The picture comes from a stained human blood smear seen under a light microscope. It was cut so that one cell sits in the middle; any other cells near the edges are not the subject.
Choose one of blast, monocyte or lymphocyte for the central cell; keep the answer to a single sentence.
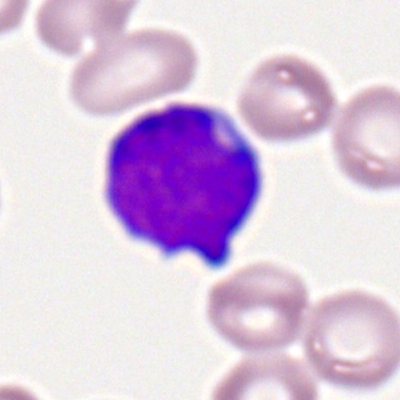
The target cell in the middle of the crop is a blast.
